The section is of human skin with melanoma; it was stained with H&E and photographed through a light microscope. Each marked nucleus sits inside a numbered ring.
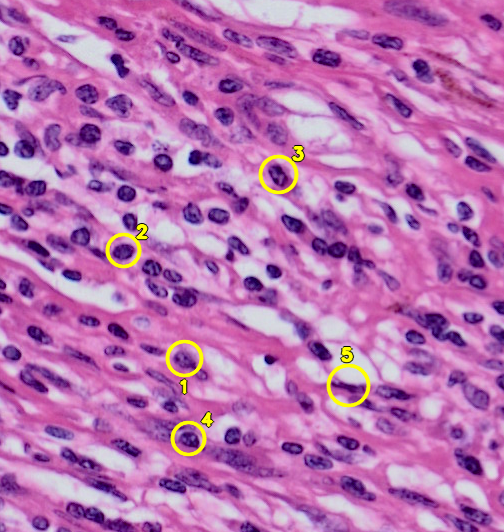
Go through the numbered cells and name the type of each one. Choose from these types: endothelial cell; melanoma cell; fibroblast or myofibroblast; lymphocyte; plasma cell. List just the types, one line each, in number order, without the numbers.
plasma cell
lymphocyte
plasma cell
endothelial cell
fibroblast or myofibroblast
